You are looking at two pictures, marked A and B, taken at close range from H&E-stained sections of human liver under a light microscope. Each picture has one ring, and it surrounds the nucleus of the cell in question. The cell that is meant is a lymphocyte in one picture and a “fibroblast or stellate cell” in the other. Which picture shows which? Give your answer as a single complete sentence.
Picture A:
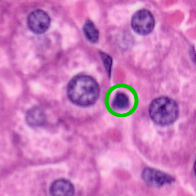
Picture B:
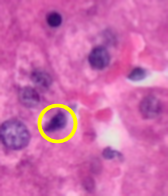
Picture B shows a “fibroblast or stellate cell”, while picture A shows a lymphocyte.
